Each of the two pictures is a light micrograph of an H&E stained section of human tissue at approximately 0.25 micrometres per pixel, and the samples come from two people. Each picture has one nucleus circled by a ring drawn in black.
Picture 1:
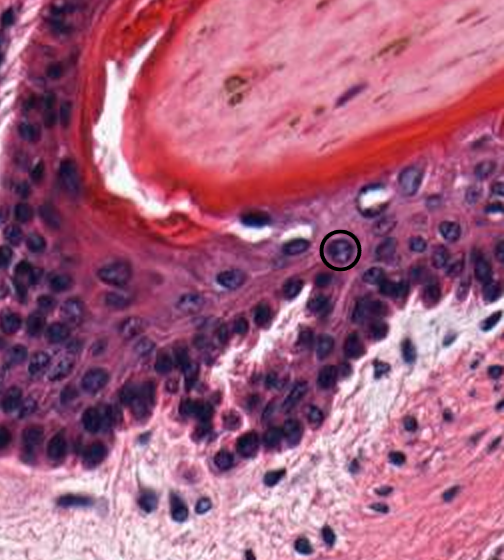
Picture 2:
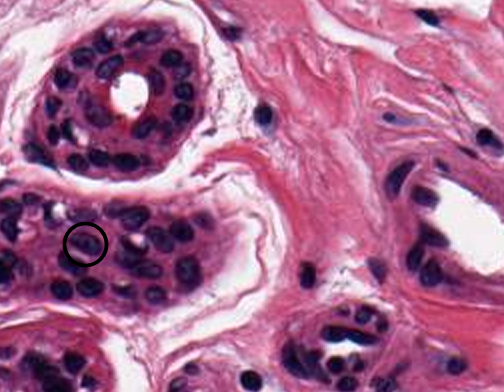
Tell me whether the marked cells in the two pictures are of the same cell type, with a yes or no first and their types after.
No, the first is a keratinocyte and the second a sweat gland cell.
